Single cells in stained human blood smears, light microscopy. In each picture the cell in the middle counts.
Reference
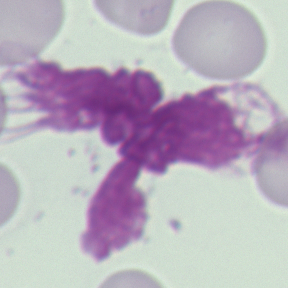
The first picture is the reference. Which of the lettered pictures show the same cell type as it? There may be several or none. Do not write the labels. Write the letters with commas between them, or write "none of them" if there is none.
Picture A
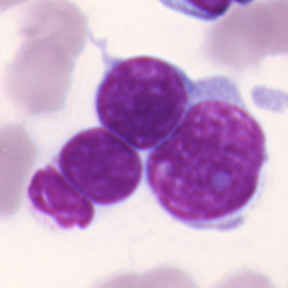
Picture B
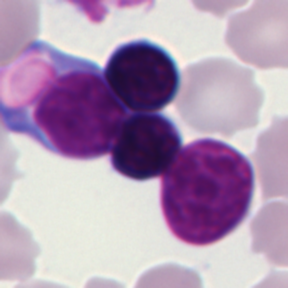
none of them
